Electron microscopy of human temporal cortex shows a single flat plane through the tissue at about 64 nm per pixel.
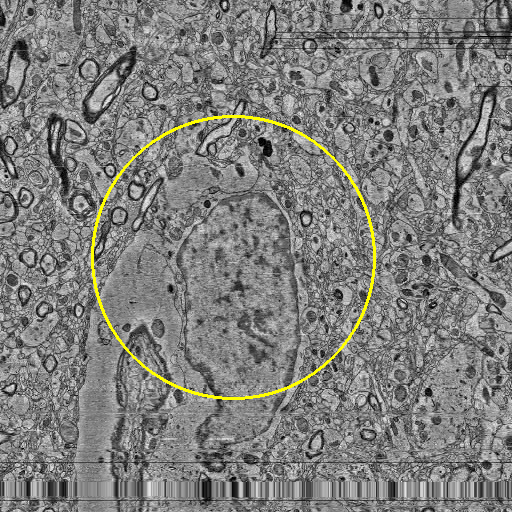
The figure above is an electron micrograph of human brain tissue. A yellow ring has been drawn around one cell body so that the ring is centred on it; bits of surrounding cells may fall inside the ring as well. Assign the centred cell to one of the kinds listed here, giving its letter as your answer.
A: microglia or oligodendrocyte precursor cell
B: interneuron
A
